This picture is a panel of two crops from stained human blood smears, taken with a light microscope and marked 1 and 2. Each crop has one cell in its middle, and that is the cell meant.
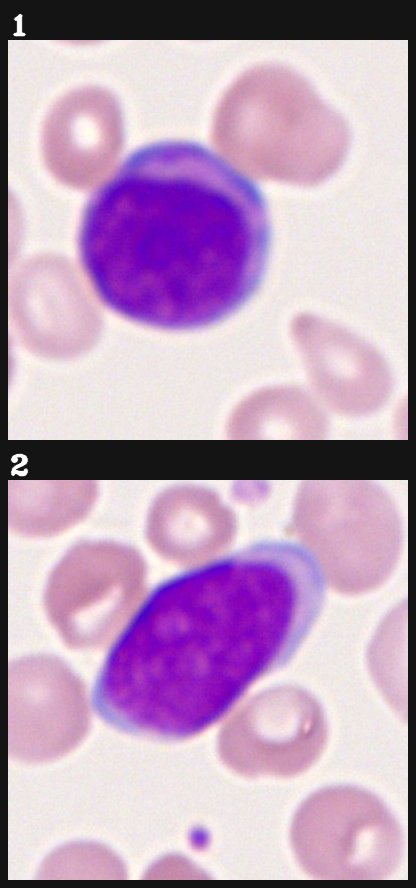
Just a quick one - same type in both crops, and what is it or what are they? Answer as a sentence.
Yes, in the middle of both crops lie myeloblasts.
